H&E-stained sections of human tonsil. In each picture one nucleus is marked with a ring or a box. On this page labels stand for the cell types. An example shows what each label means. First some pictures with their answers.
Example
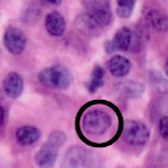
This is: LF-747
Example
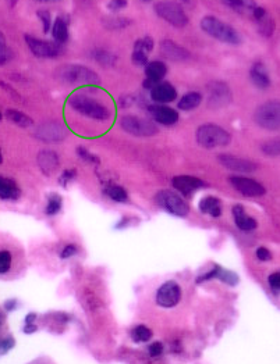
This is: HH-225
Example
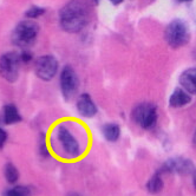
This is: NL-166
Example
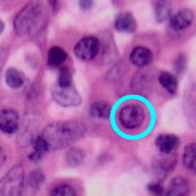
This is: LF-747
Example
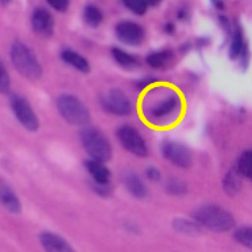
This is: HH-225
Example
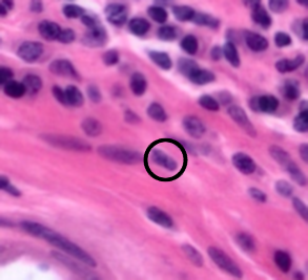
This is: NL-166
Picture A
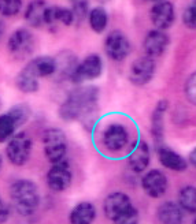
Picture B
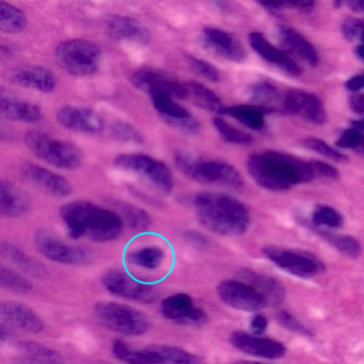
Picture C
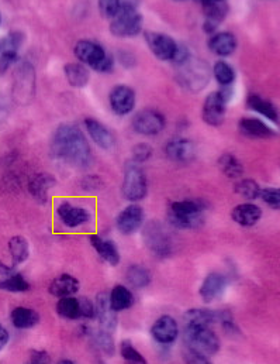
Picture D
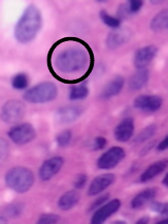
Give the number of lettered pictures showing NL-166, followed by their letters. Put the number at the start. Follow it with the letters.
1: C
